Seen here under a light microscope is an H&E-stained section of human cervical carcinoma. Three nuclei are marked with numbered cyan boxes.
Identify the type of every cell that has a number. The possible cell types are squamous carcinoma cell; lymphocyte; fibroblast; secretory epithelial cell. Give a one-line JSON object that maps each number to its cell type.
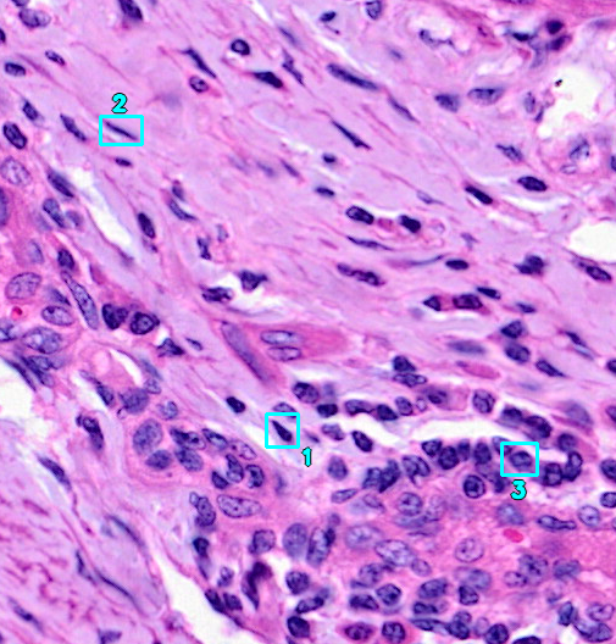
{"1": "lymphocyte", "2": "fibroblast", "3": "lymphocyte"}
